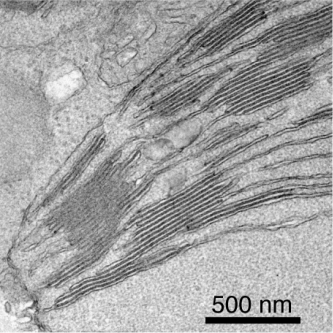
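This high-magnification electron micrograph shows the interior of a chloroplast. Its membranes are arranged as long, tightly parallel lamellae running diagonally across the field. At intervals the lamellae are stacked into denser, darker blocks, joined to one another by single, thinner membranes. A finely granular stroma fills the space between the membrane systems.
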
